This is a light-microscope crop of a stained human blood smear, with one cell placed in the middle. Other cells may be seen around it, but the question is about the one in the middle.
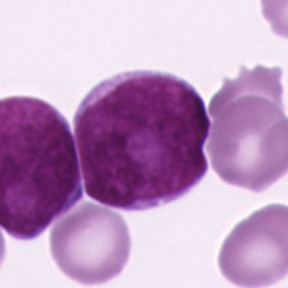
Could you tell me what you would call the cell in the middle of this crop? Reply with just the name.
blast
